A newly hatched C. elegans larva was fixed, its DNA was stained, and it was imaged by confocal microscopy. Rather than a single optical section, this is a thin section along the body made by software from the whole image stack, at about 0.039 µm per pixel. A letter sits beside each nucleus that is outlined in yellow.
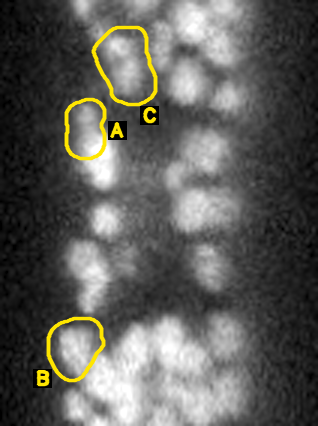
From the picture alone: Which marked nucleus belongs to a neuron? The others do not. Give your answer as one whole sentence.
It is B that belongs to a neuron.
